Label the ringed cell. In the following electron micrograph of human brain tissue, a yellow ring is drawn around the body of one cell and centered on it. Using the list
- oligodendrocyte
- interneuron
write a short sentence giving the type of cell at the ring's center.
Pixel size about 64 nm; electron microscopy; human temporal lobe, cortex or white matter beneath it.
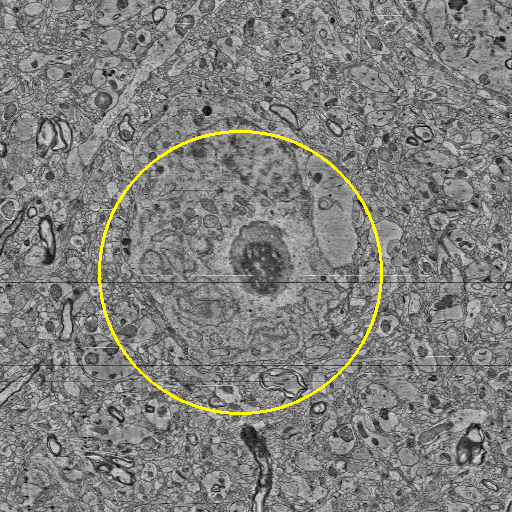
The cell body at the ring's center is that of an oligodendrocyte.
